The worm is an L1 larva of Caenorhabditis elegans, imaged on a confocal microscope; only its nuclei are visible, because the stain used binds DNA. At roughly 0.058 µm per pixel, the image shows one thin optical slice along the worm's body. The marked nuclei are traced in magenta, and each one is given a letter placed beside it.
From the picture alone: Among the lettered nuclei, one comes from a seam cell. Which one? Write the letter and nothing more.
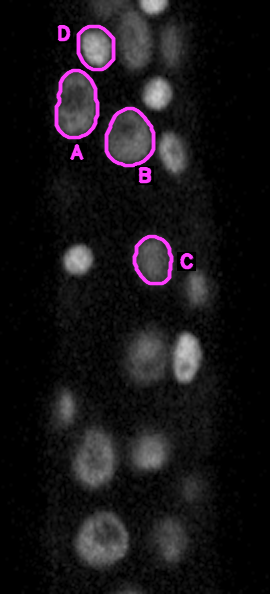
B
